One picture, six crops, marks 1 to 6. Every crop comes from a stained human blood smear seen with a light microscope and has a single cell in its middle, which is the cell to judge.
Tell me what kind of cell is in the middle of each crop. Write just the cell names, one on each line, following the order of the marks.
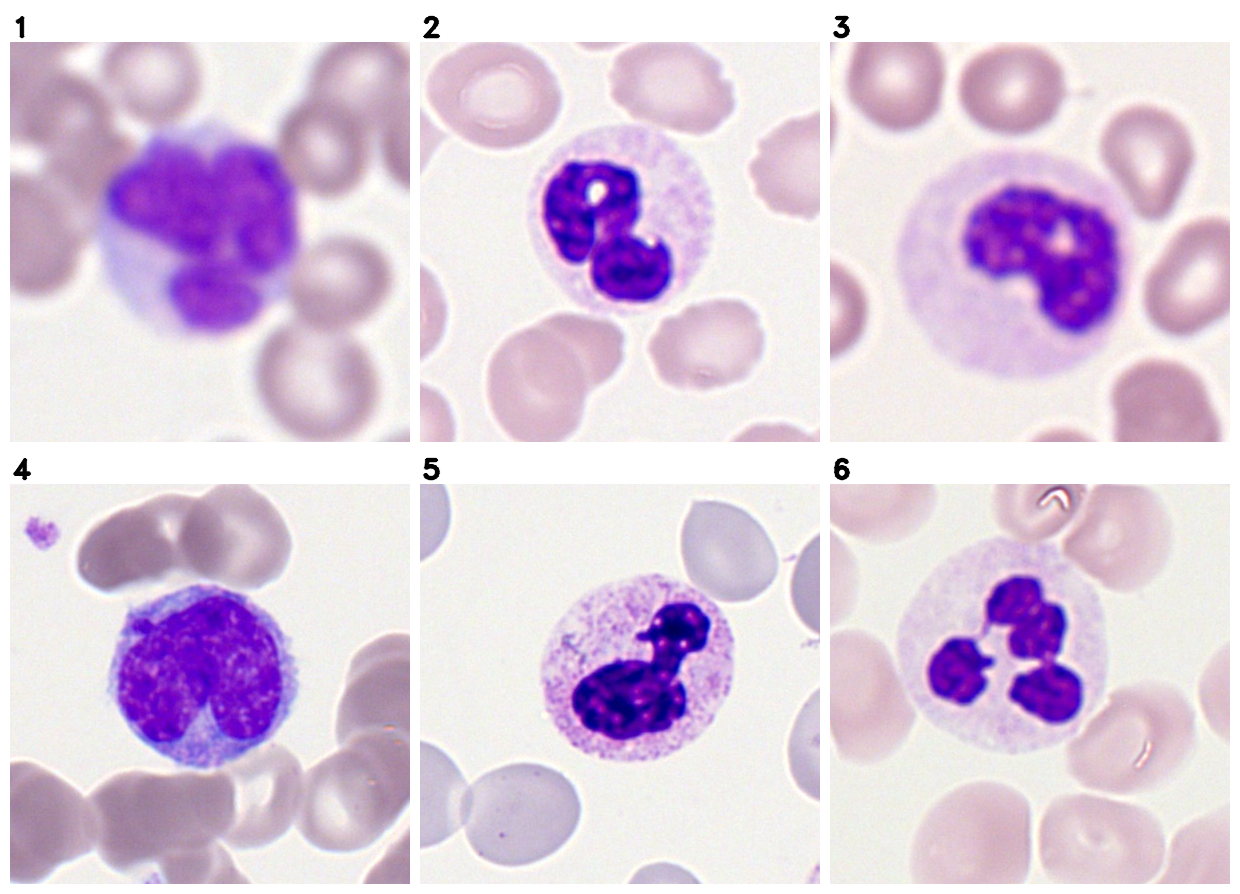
monocyte
segmented neutrophil
segmented neutrophil
monocyte
segmented neutrophil
segmented neutrophil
